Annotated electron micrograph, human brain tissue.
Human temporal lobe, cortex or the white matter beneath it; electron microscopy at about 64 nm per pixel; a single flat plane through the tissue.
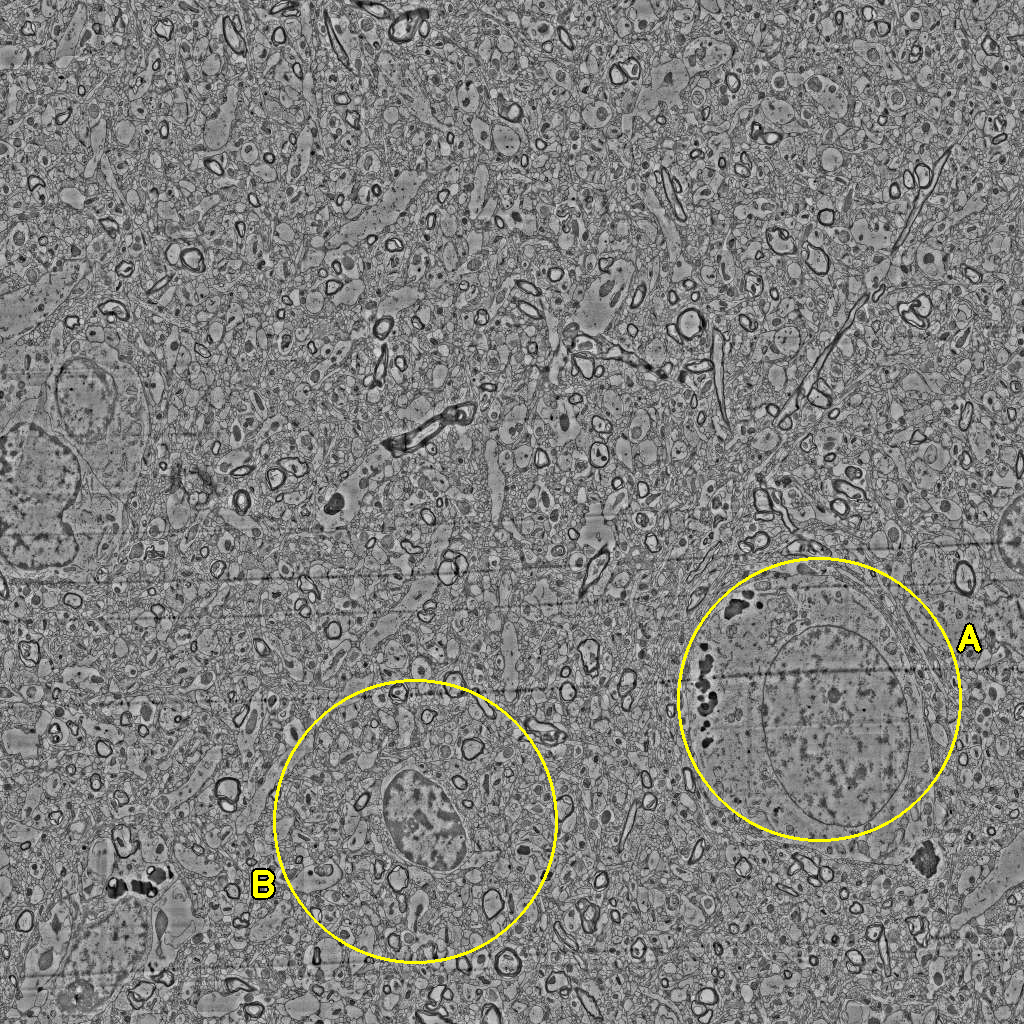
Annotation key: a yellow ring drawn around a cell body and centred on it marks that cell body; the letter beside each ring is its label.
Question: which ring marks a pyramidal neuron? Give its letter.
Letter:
A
